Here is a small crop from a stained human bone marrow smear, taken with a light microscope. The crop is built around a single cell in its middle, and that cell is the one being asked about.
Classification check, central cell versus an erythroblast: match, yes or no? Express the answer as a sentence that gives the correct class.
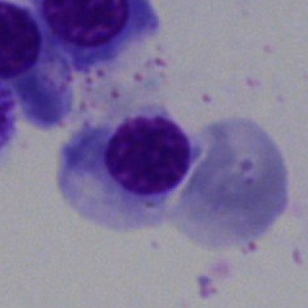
Yes, the cell that the crop is centered on is an erythroblast.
